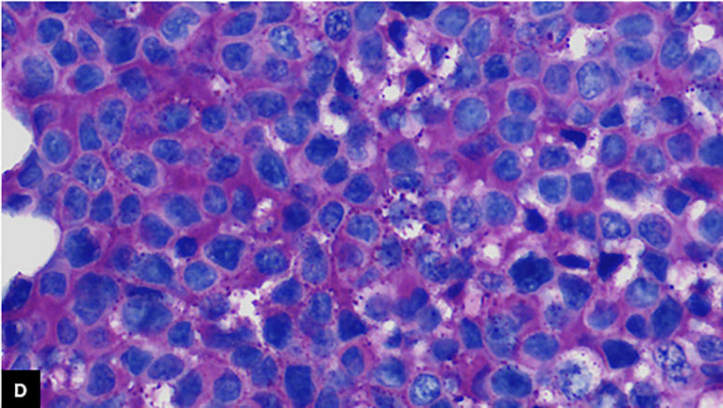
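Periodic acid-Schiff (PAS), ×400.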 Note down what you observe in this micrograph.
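Densely packed tumour cells with round to oval blue nuclei and fine chromatin lie in a continuous sheet. Their cytoplasm stains magenta, with the colour tending to be deeper towards the cell borders than around the nuclei. Small dark granules are scattered between some cells.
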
